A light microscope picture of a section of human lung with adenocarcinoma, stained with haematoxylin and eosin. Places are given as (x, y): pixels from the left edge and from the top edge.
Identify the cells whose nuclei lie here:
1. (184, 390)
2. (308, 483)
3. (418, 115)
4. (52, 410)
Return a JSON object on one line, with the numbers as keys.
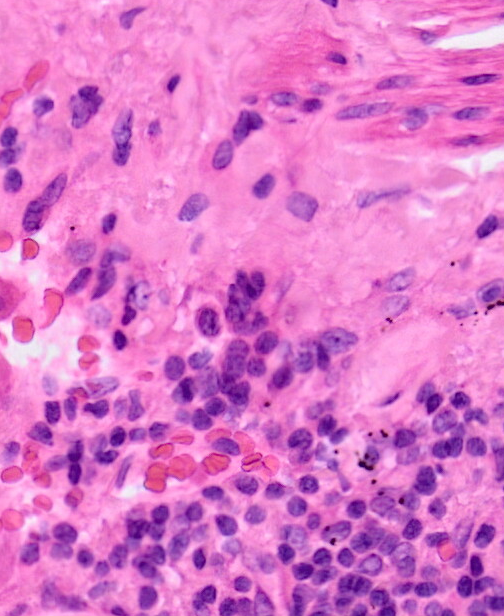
{"1": "lymphocyte", "2": "lymphocyte", "3": "smooth muscle cell or pericyte", "4": "lymphocyte"}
